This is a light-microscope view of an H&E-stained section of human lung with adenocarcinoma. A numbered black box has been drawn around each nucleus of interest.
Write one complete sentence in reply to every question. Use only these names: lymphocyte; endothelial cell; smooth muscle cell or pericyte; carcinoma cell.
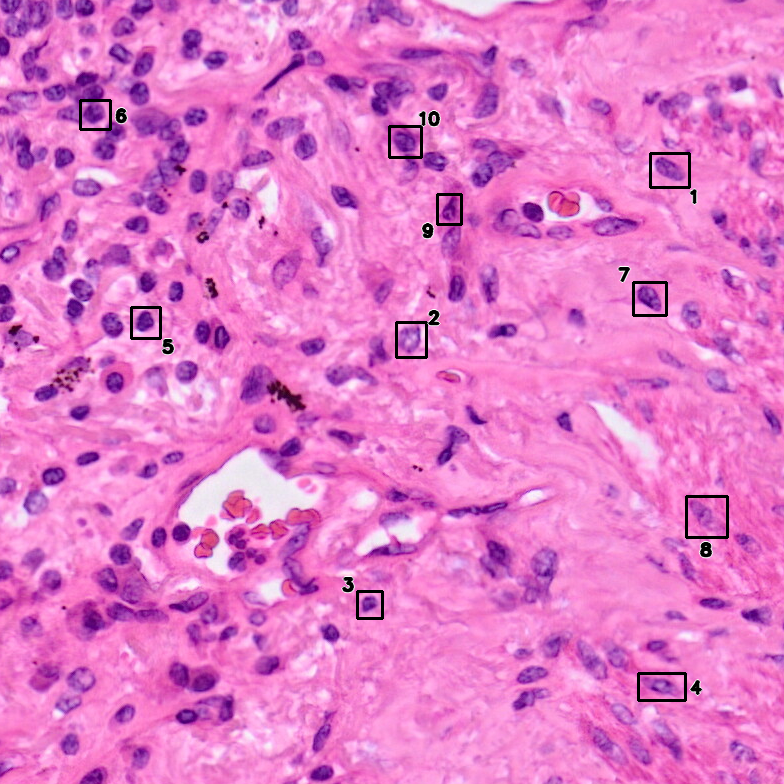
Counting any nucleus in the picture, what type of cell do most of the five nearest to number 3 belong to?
Of the five nuclei nearest to number 3, most belong to endothelial cells.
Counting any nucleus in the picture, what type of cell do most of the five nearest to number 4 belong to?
Most of the five nuclei nearest to number 4 are those of smooth muscle cells or pericytes.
